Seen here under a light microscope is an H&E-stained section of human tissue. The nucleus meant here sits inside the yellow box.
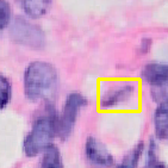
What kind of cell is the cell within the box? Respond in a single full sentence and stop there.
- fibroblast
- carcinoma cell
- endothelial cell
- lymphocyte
To be brief about it, the cell within the box is an endothelial cell.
